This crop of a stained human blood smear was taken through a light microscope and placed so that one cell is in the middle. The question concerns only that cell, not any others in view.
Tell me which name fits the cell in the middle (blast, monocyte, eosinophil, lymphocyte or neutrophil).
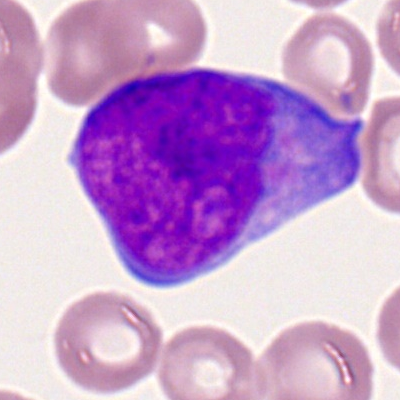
blast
